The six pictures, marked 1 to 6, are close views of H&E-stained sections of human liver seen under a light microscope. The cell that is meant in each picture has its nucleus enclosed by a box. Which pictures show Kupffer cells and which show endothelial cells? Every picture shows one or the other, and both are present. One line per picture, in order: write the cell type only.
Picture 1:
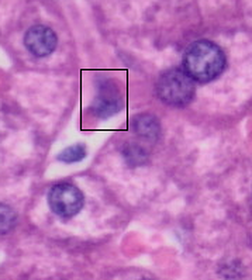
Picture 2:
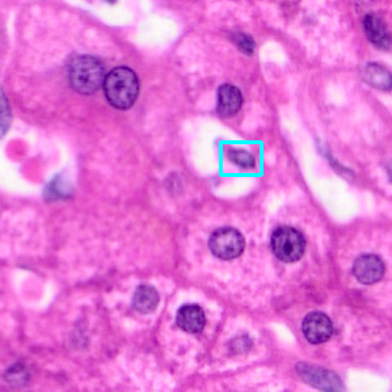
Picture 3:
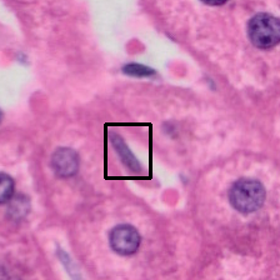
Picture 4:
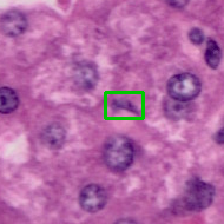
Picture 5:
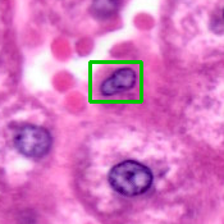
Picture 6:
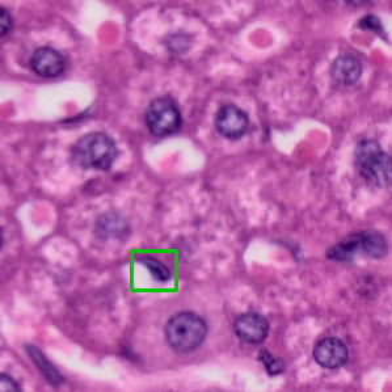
Kupffer cell
Kupffer cell
Kupffer cell
endothelial cell
Kupffer cell
endothelial cell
